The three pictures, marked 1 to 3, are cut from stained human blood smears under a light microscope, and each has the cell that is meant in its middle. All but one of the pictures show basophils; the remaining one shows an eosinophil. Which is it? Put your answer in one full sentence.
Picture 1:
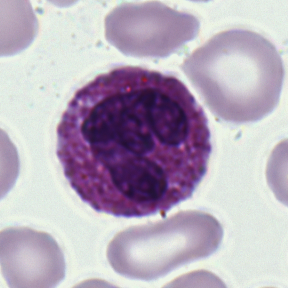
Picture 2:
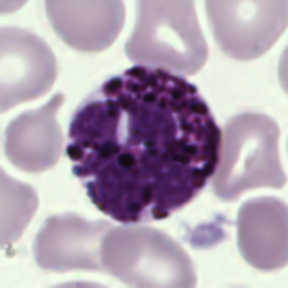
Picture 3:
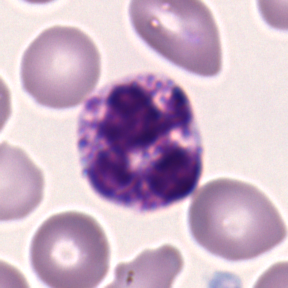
Picture 1 is the one that shows the eosinophil.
